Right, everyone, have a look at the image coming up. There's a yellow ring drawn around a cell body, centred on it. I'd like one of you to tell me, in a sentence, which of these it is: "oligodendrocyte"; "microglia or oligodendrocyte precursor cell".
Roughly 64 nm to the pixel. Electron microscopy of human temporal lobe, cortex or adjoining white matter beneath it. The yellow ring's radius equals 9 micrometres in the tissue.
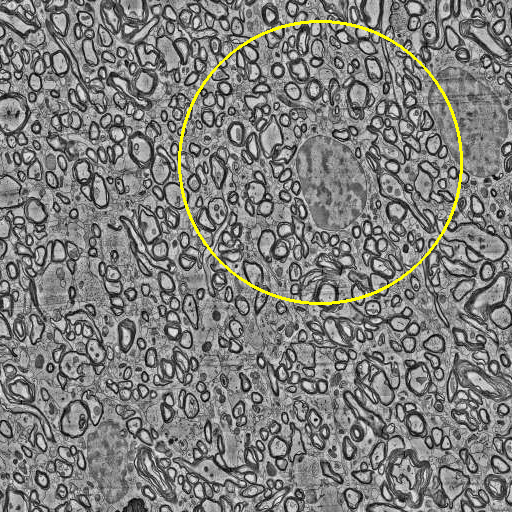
The yellow ring sits on a microglial cell or oligodendrocyte precursor cell.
